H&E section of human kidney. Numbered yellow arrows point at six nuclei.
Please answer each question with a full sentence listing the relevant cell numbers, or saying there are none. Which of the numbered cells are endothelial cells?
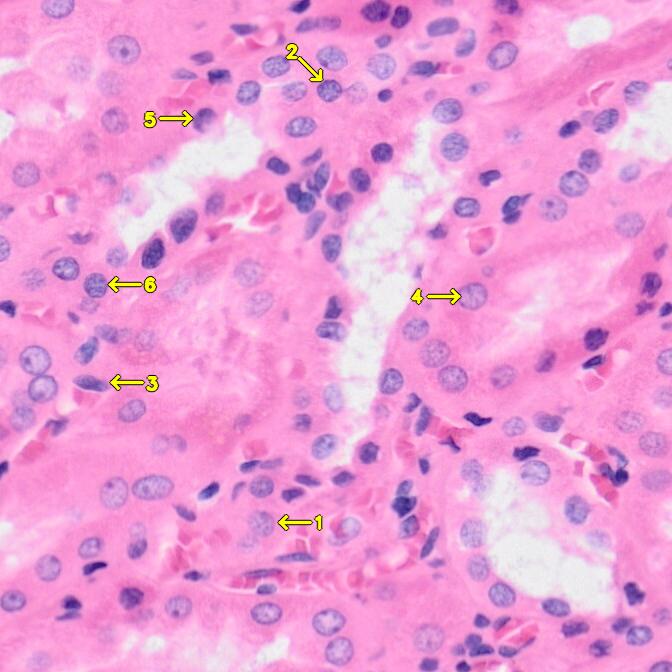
Cell 3 is an endothelial cell; no further numbered cell is.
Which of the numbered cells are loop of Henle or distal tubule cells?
The cells marked with the numbers 1, 2, 5 and 6 are loop of Henle or distal tubule cells.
